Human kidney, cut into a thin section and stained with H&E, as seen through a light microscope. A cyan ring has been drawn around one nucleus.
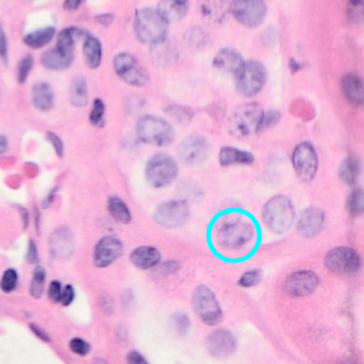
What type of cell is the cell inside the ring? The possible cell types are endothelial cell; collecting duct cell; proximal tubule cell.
collecting duct cell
